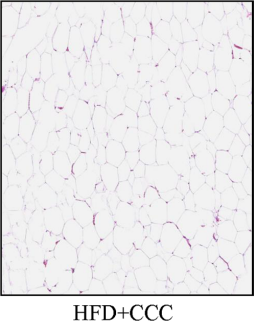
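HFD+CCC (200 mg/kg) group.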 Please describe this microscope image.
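Many small, clear, rounded to polygonal spaces are packed closely across the field, each outlined by a thin pink membrane, forming a fine mesh. Little cytoplasm or connective tissue lies between them.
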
